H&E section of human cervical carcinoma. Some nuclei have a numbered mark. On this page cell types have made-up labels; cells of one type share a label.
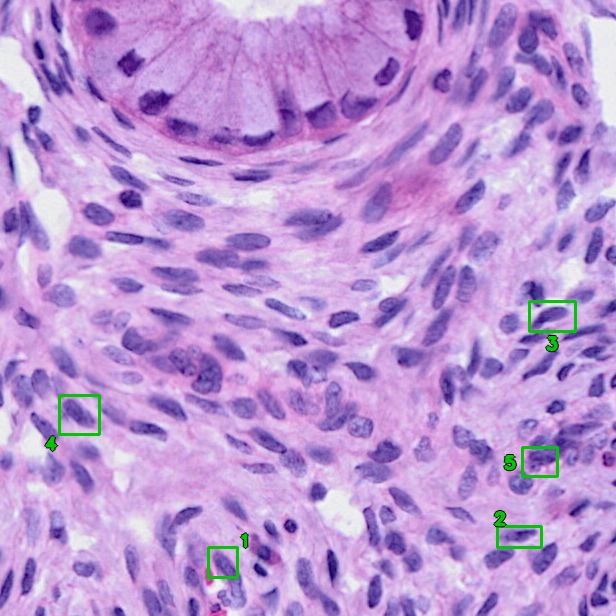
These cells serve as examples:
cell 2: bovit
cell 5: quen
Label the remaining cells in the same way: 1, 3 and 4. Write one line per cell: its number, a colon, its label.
1: quen
3: bovit
4: bovit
